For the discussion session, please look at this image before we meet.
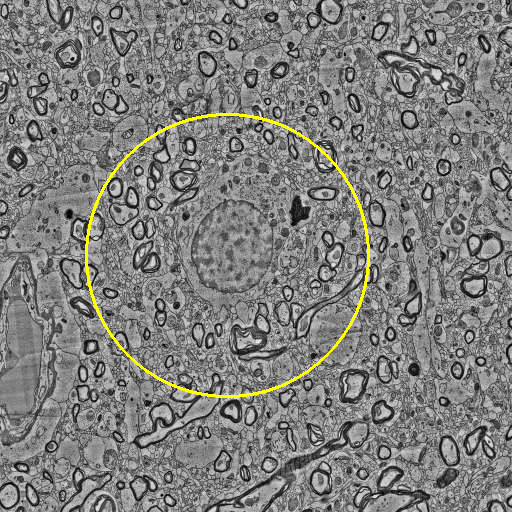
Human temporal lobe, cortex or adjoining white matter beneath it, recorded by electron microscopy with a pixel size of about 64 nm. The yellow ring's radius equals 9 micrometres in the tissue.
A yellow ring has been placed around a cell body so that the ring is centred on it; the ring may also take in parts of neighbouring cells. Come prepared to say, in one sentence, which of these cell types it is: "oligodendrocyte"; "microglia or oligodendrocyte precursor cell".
The cell centred in the ring is an oligodendrocyte.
